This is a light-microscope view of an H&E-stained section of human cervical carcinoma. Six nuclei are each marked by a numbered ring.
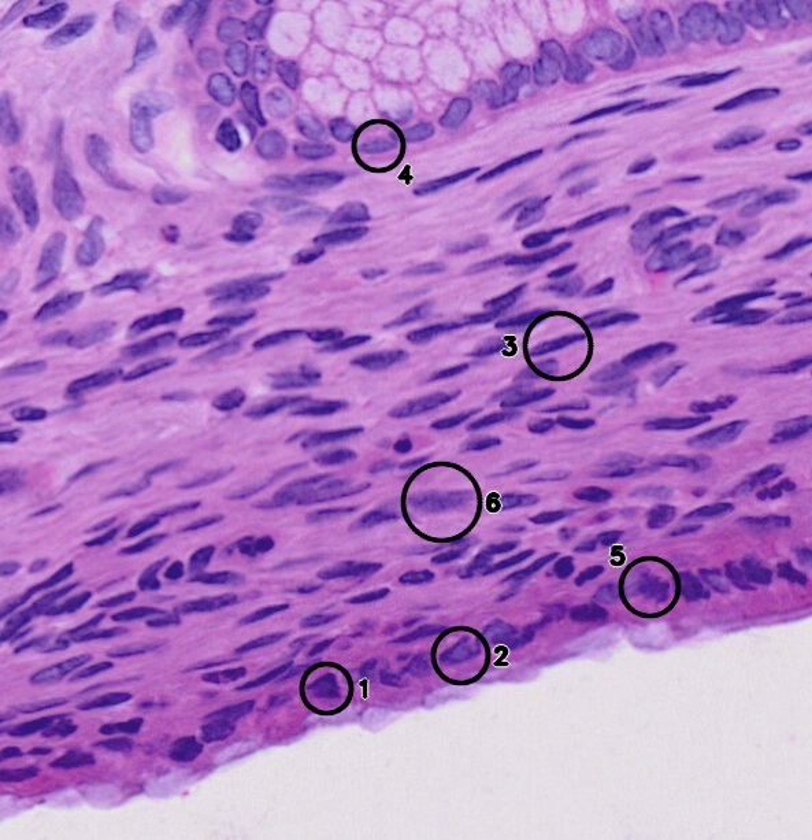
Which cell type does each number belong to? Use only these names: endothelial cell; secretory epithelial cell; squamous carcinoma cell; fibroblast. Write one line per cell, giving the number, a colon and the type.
1: secretory epithelial cell
2: secretory epithelial cell
3: fibroblast
4: secretory epithelial cell
5: secretory epithelial cell
6: fibroblast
